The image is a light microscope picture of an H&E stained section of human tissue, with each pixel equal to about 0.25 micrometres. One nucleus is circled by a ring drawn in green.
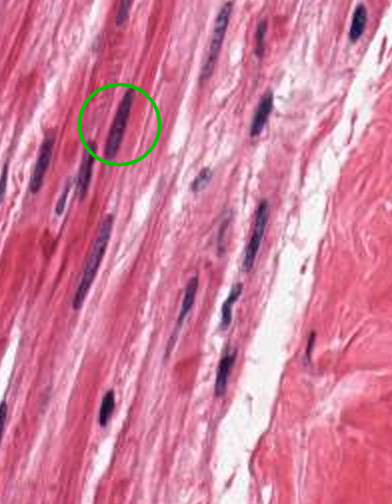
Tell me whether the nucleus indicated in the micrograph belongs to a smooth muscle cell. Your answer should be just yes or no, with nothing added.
yes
